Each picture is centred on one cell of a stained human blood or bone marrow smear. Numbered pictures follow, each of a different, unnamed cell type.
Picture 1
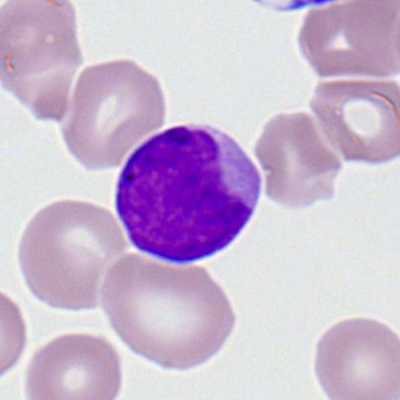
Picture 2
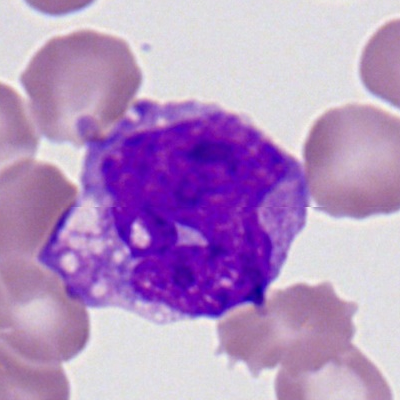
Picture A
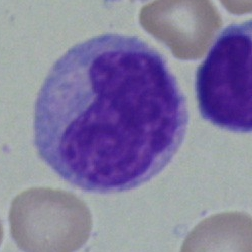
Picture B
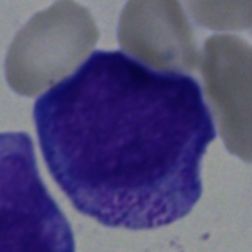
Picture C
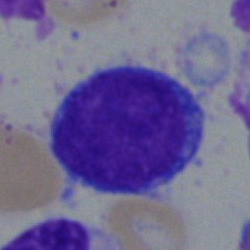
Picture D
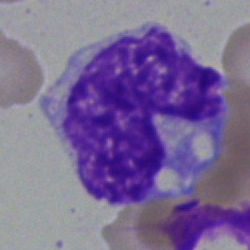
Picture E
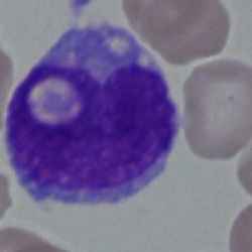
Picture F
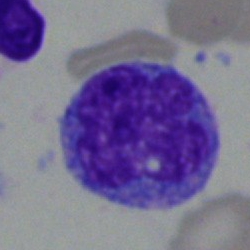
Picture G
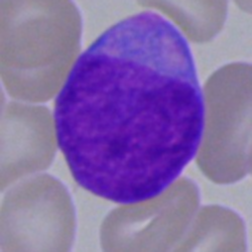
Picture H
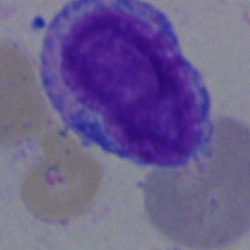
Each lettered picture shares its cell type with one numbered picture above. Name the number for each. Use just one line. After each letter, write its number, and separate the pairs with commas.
A 2, B 1, C 1, D 2, E 2, F 1, G 1, H 1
